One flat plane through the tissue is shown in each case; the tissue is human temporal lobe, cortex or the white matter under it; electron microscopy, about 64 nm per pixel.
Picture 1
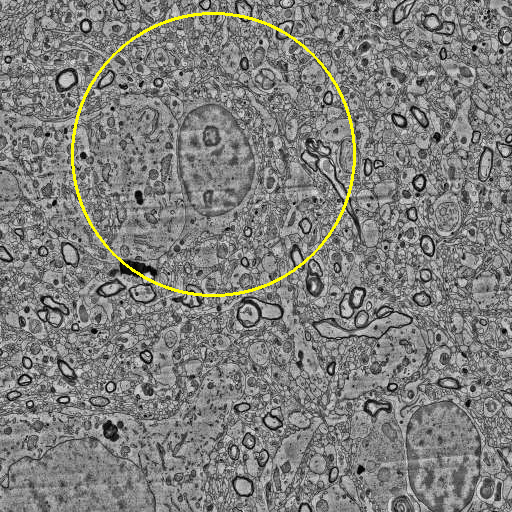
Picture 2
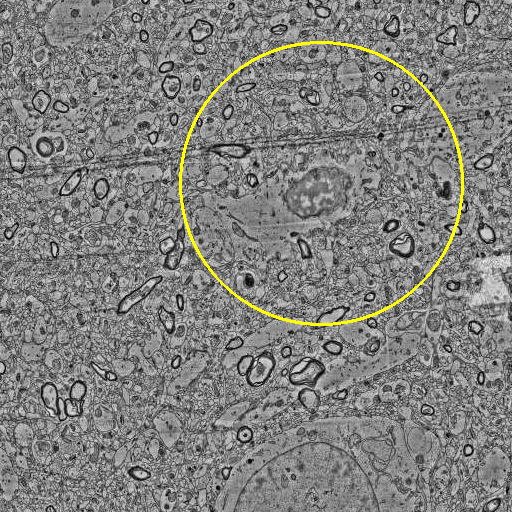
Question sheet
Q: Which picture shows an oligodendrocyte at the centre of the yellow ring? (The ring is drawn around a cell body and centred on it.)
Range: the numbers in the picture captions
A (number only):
1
